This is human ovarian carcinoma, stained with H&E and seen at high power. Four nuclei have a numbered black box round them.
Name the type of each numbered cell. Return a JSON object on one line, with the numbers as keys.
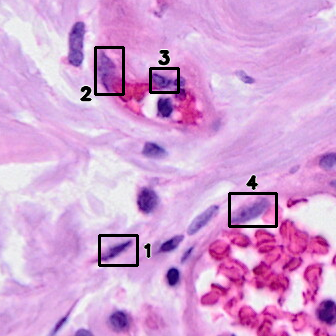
{"1": "fibroblast", "2": "endothelial cell", "3": "endothelial cell", "4": "endothelial cell"}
